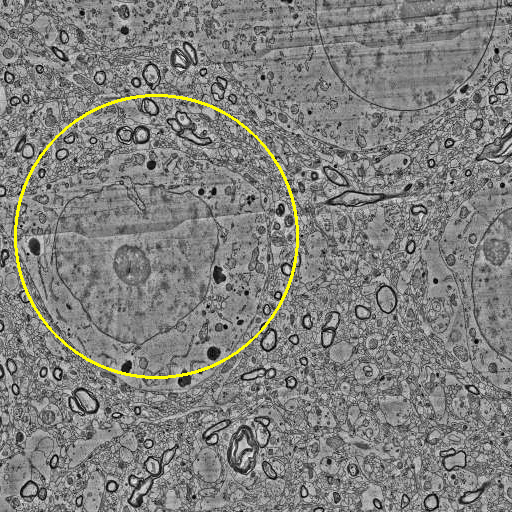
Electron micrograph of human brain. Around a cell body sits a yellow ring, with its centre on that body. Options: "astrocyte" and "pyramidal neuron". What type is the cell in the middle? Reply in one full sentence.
The cell sitting at the centre of the yellow ring is a pyramidal neuron.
